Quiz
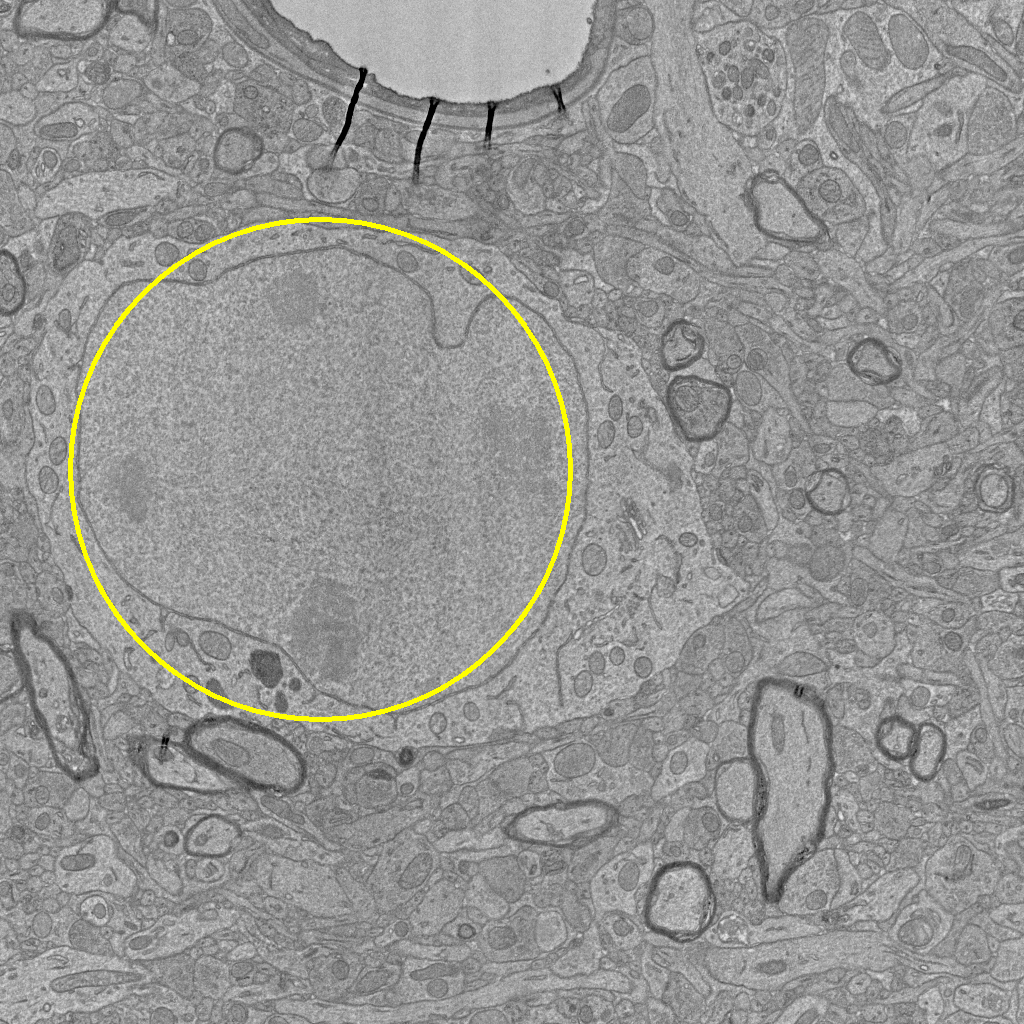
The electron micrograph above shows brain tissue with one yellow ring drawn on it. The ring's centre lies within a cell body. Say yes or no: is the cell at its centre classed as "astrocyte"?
no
